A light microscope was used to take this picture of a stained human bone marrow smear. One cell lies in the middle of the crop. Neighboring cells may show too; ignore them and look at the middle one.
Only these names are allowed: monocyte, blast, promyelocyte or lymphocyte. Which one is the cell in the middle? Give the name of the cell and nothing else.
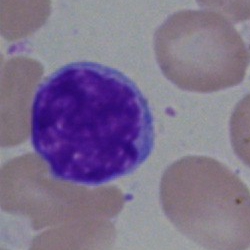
lymphocyte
